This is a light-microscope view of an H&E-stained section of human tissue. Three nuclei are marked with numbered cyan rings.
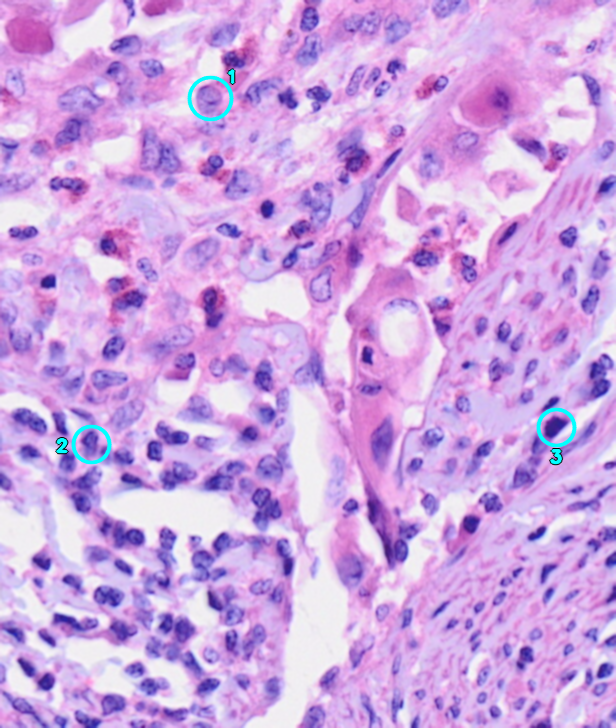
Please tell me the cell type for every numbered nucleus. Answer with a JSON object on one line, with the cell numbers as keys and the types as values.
{"1": "macrophage or monocyte", "2": "lymphocyte", "3": "lymphocyte"}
